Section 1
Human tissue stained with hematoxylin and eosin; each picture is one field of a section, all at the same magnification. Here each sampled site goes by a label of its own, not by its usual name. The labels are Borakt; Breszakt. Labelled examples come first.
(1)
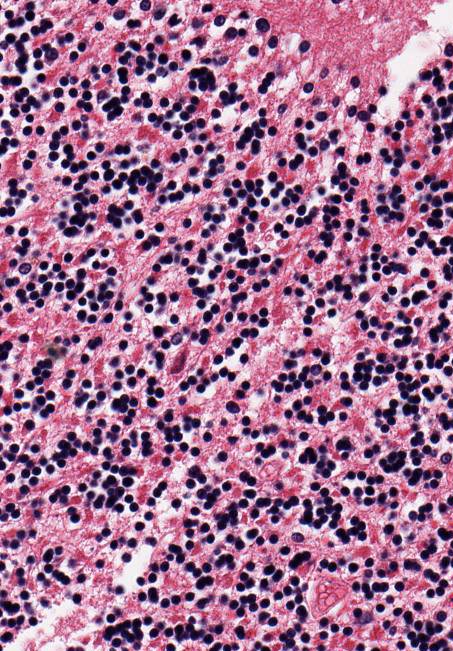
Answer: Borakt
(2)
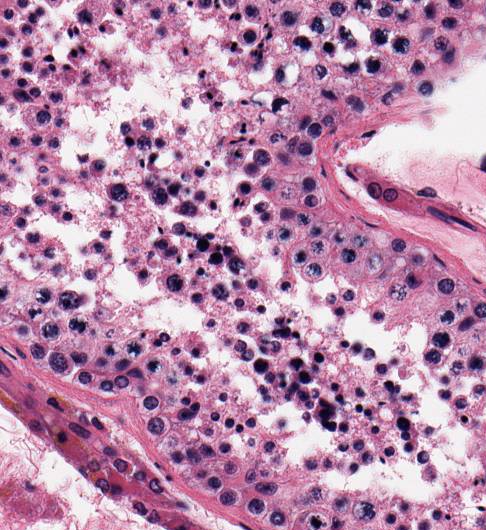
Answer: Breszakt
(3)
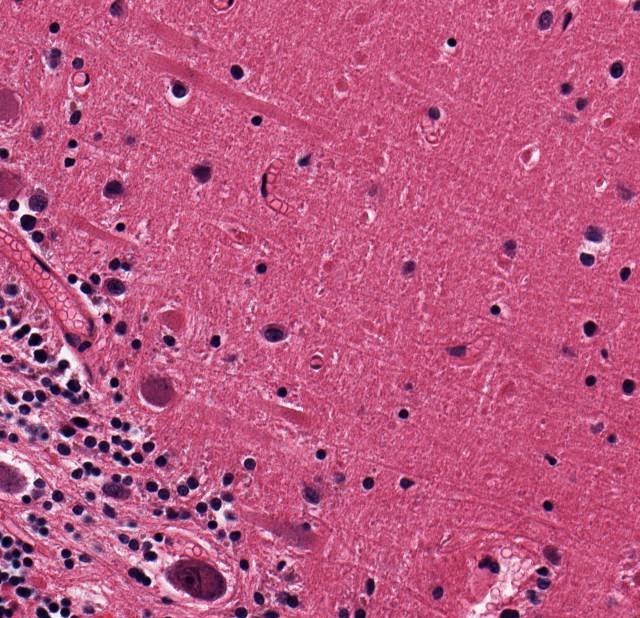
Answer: Borakt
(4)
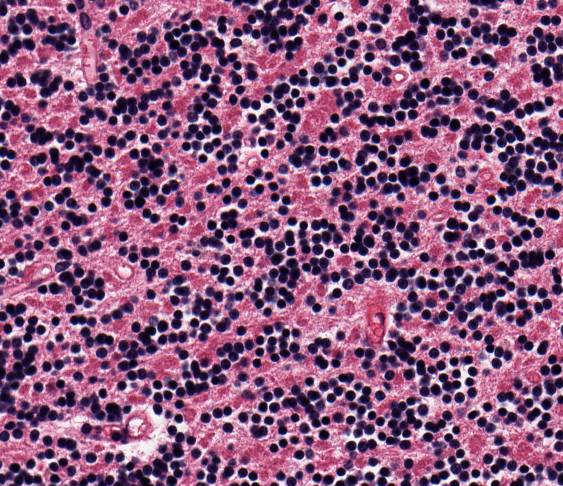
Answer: Borakt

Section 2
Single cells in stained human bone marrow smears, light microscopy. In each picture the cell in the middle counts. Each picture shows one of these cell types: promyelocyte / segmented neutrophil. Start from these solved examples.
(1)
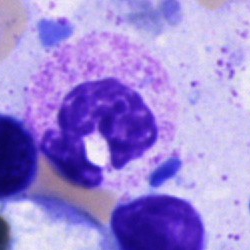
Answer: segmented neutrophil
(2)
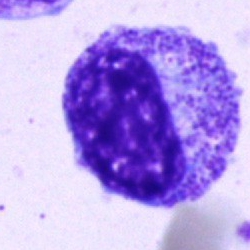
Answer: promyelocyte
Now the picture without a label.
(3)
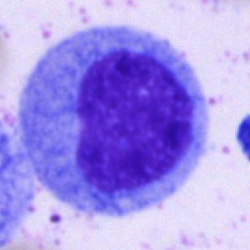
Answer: promyelocyte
